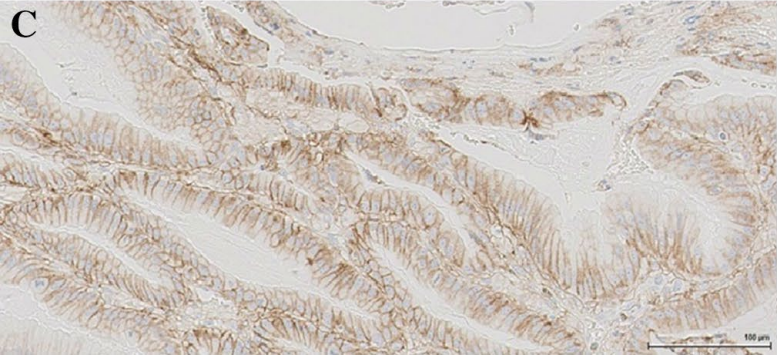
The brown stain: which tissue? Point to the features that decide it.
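Brown stain outlines the tall columnar cells lining the glands. The stain follows the cell borders, leaving the cytoplasm paler.
Hence: epithelium.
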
